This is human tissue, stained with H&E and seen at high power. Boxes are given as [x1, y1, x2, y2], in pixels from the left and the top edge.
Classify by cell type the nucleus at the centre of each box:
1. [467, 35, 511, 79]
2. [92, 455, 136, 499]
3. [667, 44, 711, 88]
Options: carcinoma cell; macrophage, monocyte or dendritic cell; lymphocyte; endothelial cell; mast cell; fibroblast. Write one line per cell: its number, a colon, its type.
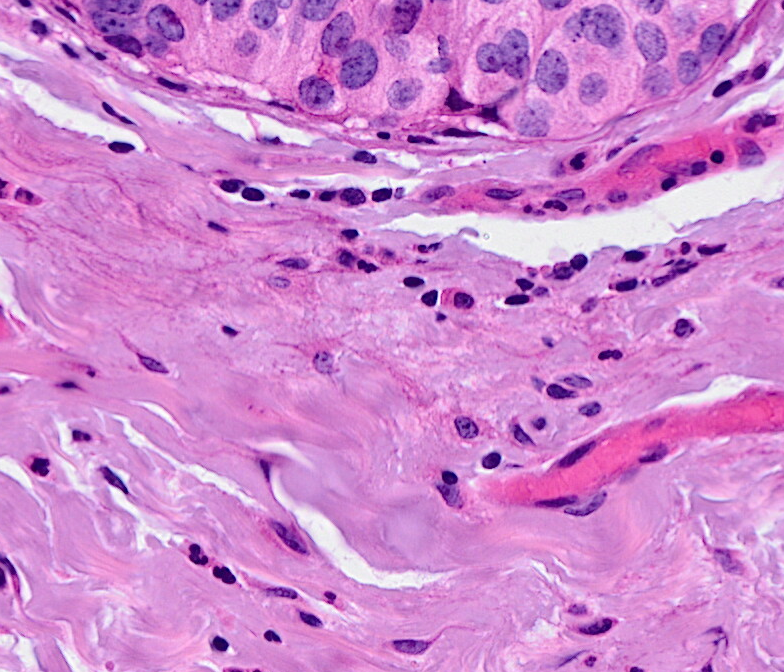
1: carcinoma cell
2: fibroblast
3: carcinoma cell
